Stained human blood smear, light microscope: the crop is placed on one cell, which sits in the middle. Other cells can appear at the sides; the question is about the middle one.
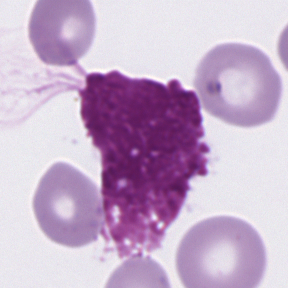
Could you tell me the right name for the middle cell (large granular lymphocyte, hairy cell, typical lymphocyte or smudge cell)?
smudge cell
